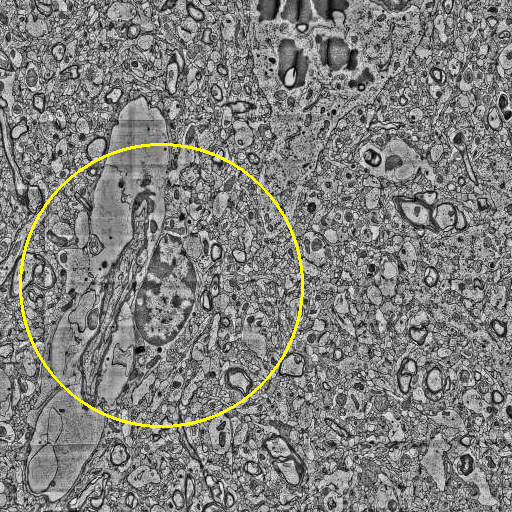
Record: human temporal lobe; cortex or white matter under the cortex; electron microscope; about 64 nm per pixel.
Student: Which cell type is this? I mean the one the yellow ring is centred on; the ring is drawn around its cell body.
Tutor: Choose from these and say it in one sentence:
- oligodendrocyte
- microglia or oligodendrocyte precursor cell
The cell the ring is centred on is a microglial cell or oligodendrocyte precursor cell.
